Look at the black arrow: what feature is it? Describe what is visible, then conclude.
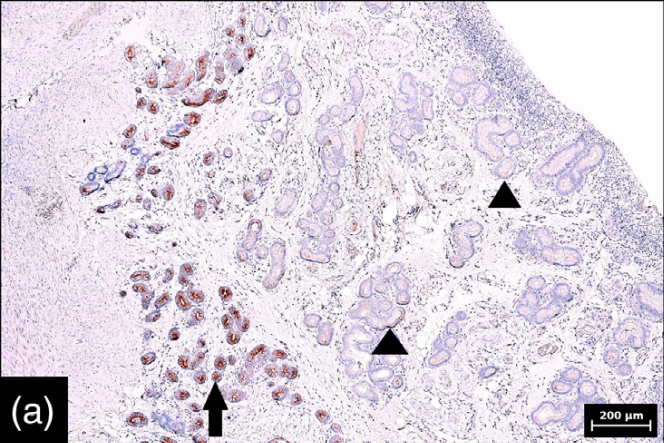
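The arrow points to small, densely packed, strongly brown gland cross-sections. These glands lie on the left side, next to the pale muscle layer. That points to this answer: basal portions.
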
